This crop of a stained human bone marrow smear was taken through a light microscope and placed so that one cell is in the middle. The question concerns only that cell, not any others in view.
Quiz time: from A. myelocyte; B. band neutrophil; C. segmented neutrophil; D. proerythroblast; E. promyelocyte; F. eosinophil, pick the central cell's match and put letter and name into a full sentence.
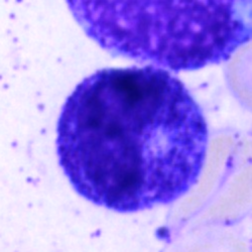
The centrally positioned cell is a promyelocyte, consistent with option E, which is correct.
